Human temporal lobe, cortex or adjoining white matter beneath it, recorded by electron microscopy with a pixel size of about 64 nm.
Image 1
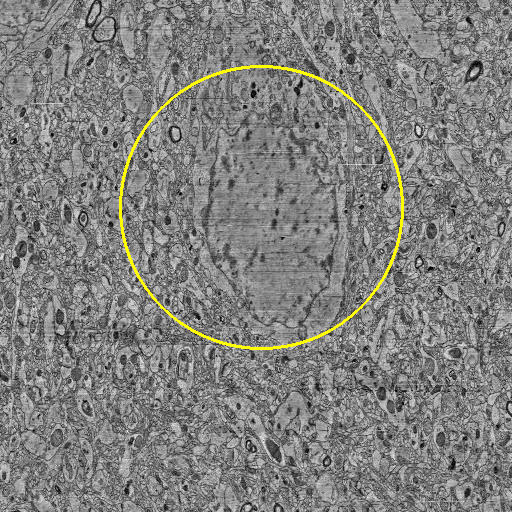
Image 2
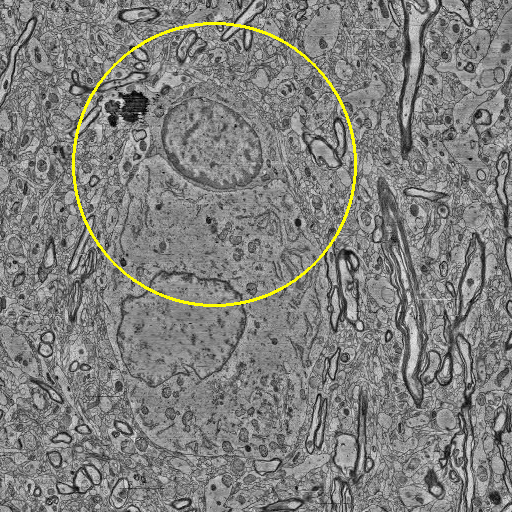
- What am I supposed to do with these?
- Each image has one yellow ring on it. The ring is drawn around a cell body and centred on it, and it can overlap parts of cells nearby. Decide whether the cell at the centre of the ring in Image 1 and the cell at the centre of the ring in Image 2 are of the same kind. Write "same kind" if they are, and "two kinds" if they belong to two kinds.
two kinds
